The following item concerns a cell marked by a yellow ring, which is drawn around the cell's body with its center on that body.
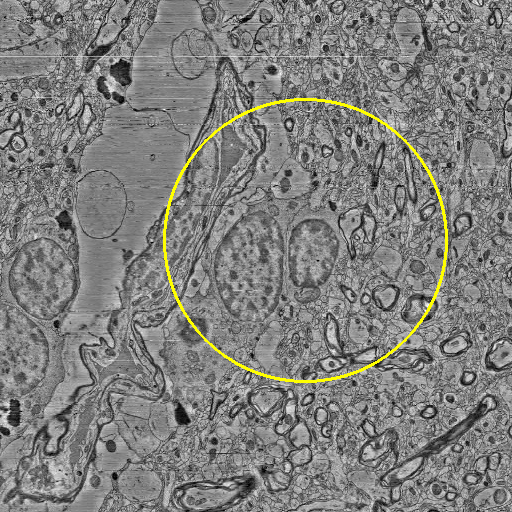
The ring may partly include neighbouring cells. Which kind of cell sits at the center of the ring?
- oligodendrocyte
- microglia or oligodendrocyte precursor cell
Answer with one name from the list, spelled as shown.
oligodendrocyte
